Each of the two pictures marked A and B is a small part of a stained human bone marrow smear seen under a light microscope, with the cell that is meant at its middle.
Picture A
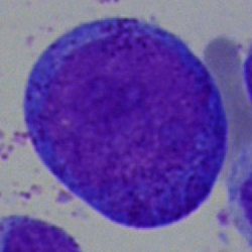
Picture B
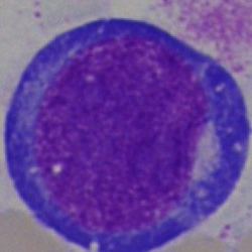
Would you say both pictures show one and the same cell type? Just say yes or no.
no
